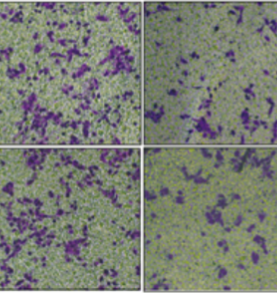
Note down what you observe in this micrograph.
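The tiny, regularly spaced pores of the membrane give the background its fine dotted texture. In the left-hand fields the purple cells are numerous and crowded into clusters, while in the right-hand fields they are fewer and more scattered.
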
